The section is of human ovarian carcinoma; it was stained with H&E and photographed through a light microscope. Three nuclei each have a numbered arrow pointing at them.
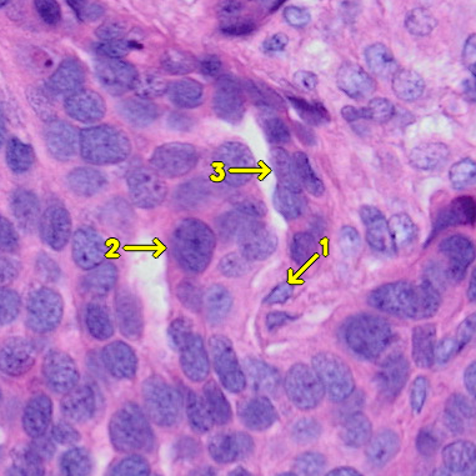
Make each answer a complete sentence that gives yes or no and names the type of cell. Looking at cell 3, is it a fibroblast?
No, cell 3 should be read as a carcinoma cell instead of a fibroblast.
